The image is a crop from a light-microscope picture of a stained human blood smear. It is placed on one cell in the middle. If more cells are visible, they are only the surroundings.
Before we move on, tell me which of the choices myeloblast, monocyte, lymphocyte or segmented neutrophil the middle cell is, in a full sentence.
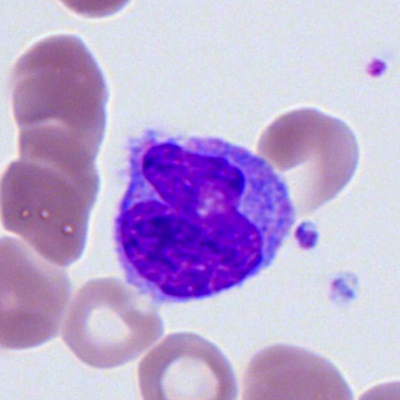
At the center of the crop sits a monocyte.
